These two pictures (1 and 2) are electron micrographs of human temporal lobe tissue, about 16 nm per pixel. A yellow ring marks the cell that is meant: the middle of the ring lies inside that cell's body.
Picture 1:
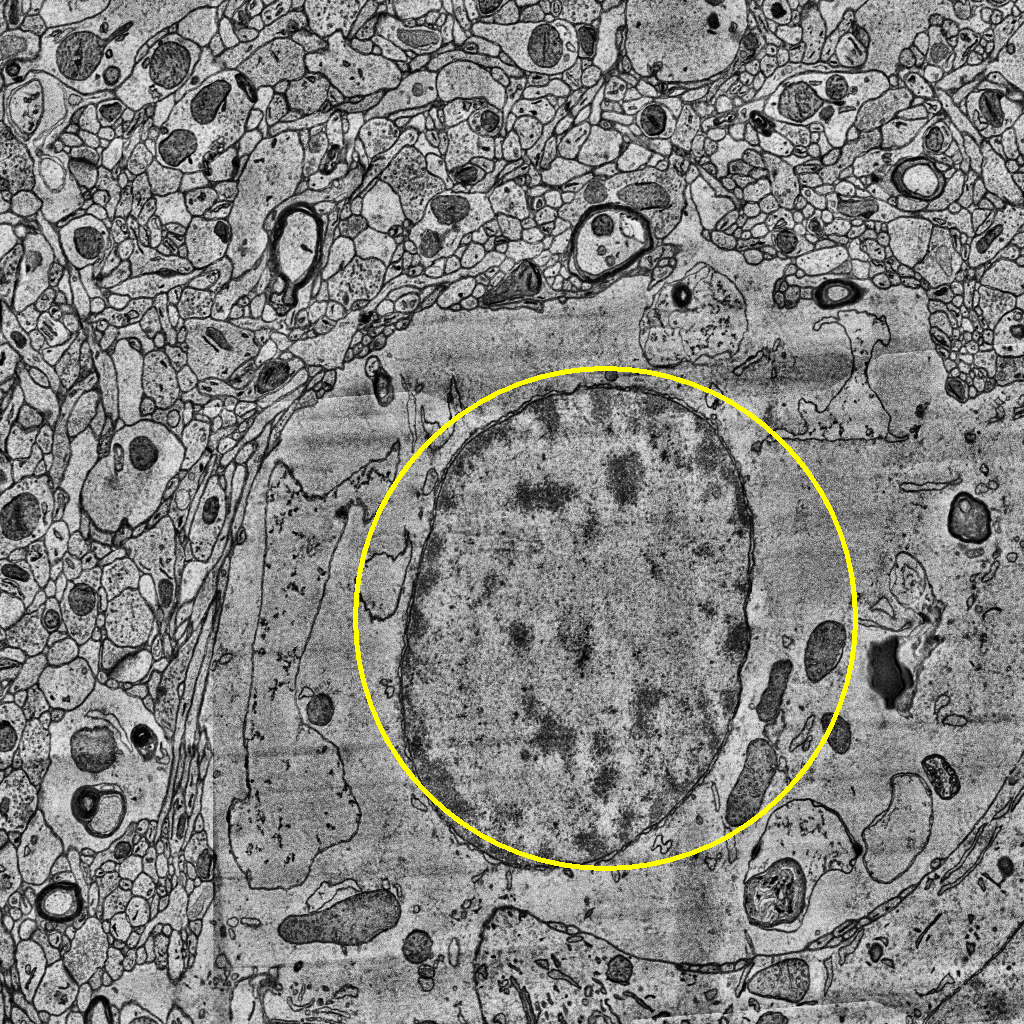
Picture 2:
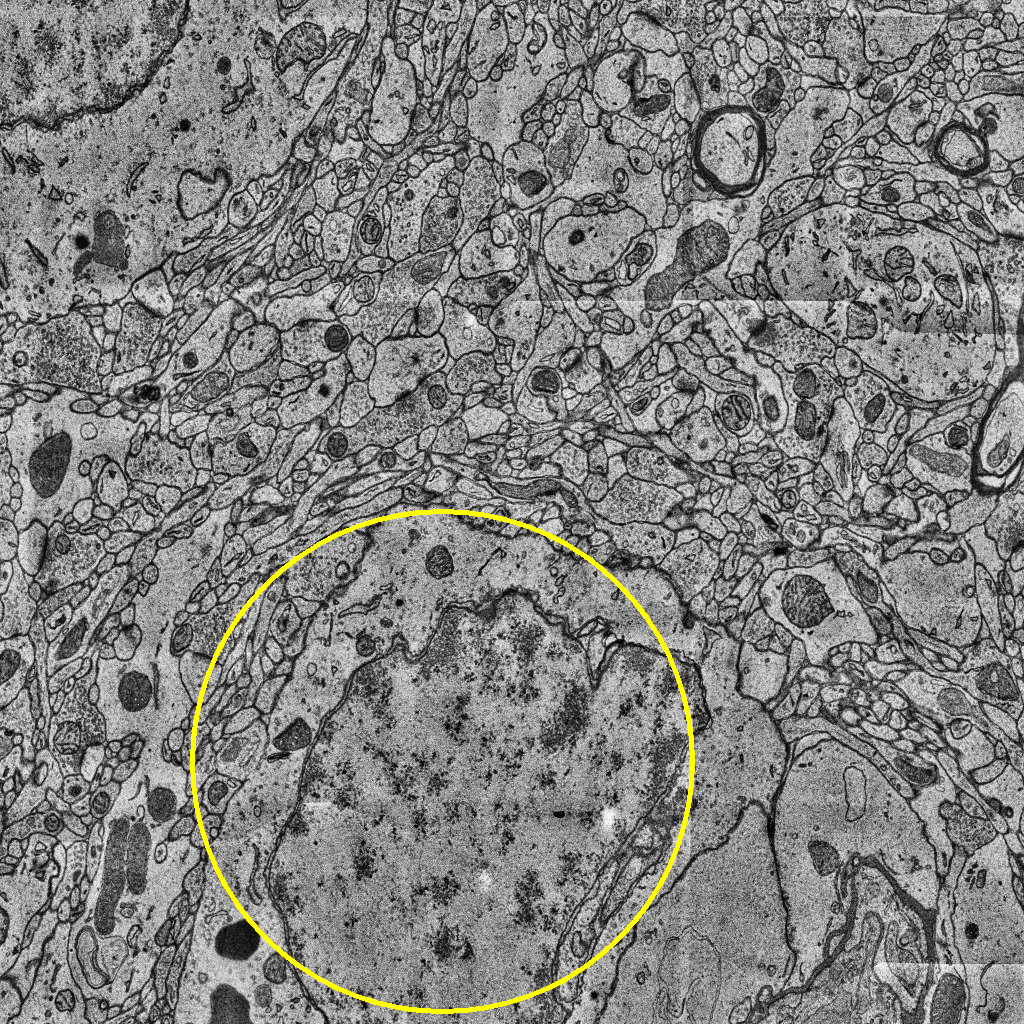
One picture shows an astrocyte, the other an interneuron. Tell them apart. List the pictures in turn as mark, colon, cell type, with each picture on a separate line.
1: astrocyte
2: interneuron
